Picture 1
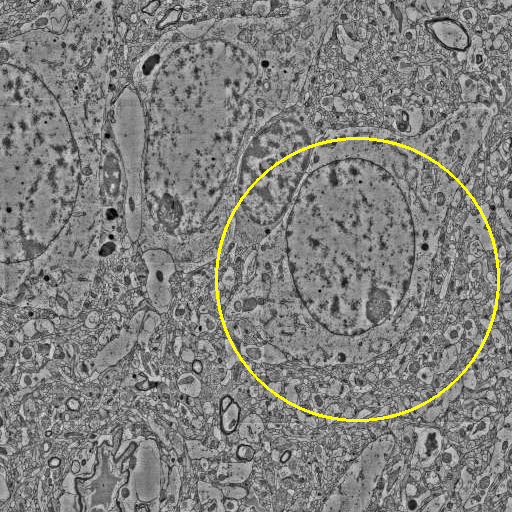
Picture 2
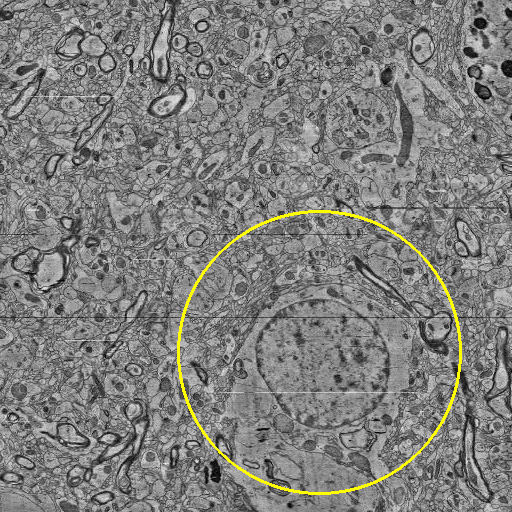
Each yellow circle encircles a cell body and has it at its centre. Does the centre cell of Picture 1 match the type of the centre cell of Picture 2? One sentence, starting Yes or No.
No, the cell centred in Picture 1 and the one in Picture 2 have separate types.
